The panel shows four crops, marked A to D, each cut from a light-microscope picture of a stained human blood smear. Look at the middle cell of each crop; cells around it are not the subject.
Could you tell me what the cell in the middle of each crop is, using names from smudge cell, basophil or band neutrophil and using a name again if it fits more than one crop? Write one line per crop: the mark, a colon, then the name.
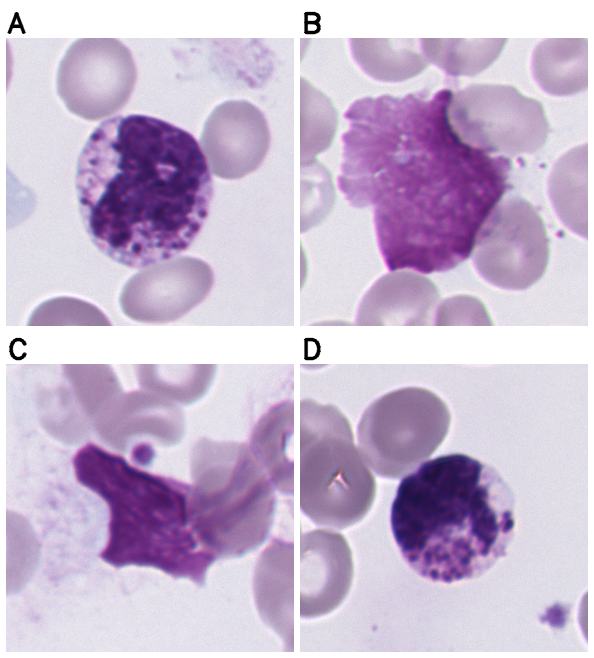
A: basophil
B: smudge cell
C: smudge cell
D: basophil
